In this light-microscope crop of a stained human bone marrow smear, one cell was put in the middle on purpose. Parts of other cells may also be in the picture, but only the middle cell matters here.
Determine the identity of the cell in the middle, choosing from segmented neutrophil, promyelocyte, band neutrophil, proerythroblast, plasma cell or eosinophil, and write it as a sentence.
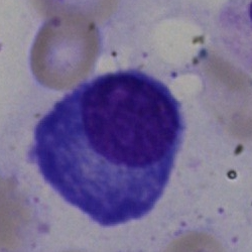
In this smear crop, the middle cell is a plasma cell.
